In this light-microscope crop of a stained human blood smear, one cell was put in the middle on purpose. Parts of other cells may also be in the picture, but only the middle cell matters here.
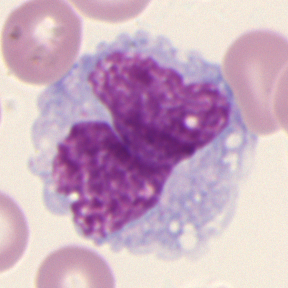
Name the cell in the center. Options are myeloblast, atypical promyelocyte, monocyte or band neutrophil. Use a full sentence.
The middle cell in this particular crop is a monocyte.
